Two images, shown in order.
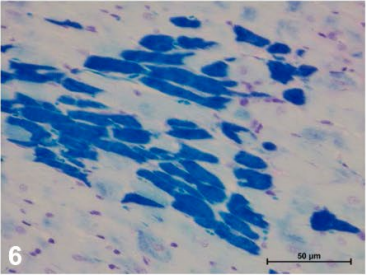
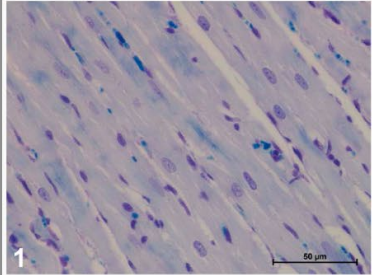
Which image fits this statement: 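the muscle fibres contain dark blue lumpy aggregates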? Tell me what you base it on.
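First image: many dark blue irregular clumps in the fibres.
Answer: the first image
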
